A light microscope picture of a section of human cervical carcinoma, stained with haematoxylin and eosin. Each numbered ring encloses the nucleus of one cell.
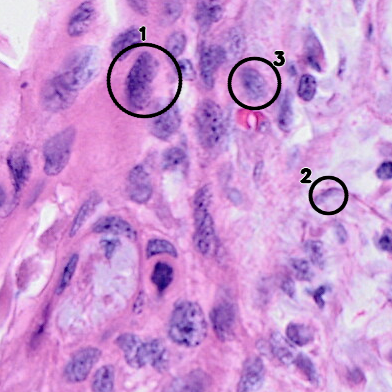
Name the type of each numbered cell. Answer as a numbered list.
1. squamous carcinoma cell
2. fibroblast
3. endothelial cell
